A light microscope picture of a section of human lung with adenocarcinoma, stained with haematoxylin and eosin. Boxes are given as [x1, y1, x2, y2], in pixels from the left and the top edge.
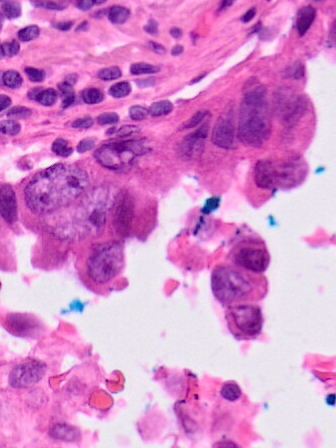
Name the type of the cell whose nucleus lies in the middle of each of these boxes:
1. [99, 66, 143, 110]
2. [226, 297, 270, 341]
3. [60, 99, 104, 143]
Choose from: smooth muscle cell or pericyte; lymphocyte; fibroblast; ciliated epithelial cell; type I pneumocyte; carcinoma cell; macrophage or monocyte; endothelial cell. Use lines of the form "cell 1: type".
cell 1: lymphocyte
cell 2: carcinoma cell
cell 3: lymphocyte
